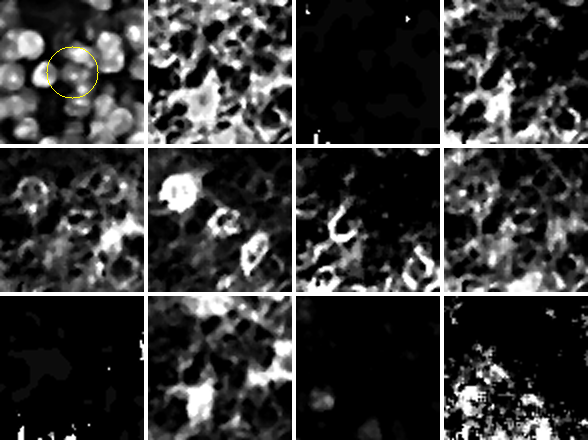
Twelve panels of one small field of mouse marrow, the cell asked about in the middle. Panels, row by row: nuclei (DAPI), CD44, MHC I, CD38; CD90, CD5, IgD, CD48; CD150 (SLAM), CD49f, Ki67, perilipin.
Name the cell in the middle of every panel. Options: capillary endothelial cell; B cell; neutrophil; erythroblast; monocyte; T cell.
T cell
